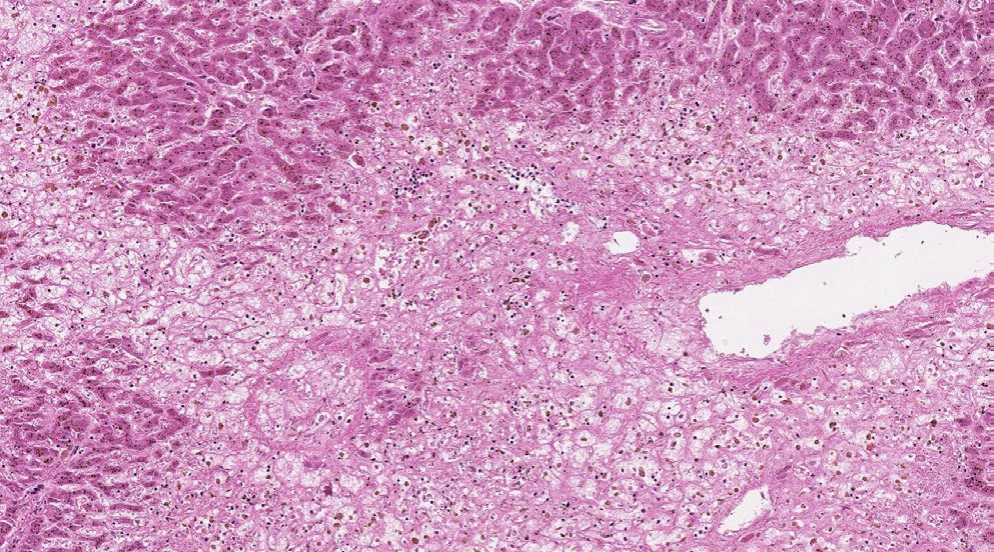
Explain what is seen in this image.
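This is liver tissue in which a broad zone of liver cells has been lost. Along the top and left edges the liver cells still stand in deep pink, closely packed cords. Across the middle of the field, around an open vessel on the right, these cords are gone and are replaced by a pale, loose, washed-out area. This area holds wispy pink strands, scattered small dark nuclei, and many cells carrying brown pigment. A small cluster of small dark nuclei, likely inflammatory cells, sits in the upper middle of the pale zone.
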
